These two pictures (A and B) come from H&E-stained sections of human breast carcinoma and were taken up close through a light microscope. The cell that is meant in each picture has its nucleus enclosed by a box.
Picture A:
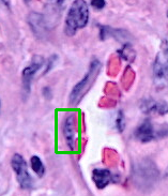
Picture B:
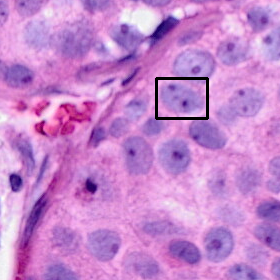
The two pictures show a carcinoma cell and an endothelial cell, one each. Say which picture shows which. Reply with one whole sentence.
It is picture A that shows an endothelial cell, and picture B that shows a carcinoma cell.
